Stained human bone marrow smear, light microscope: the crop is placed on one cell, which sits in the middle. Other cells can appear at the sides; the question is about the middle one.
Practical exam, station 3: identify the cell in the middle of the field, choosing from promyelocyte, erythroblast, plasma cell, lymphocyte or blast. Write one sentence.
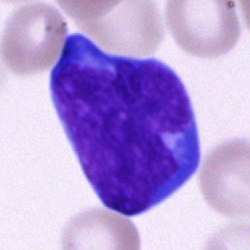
The cell occupying the middle of the crop is a blast.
